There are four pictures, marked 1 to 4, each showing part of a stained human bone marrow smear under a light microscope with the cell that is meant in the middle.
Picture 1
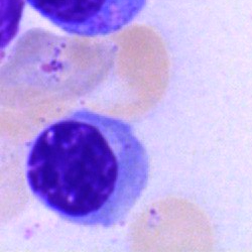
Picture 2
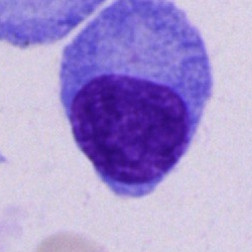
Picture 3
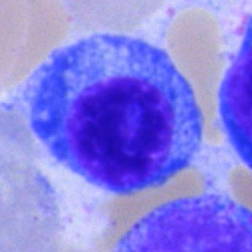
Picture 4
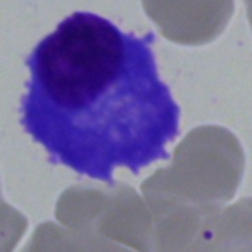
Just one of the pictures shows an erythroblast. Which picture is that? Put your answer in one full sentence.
Picture 1 shows the erythroblast.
